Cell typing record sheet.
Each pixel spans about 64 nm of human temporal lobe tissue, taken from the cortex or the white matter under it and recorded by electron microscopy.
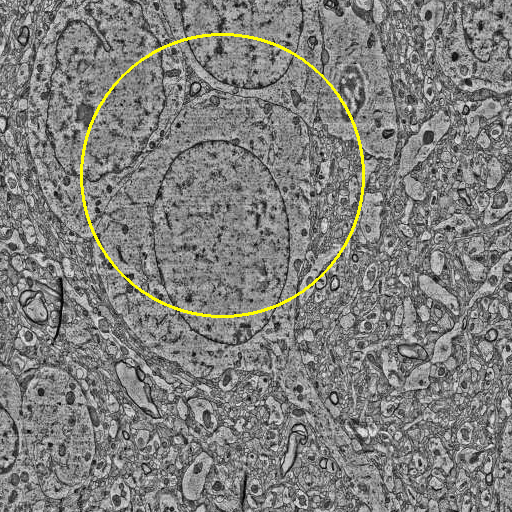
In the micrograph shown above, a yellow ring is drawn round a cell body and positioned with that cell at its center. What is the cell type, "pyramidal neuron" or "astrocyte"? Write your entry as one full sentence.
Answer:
The cell body at the center of the ring belongs to a pyramidal neuron.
